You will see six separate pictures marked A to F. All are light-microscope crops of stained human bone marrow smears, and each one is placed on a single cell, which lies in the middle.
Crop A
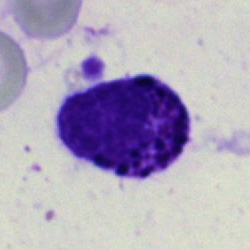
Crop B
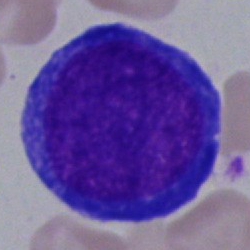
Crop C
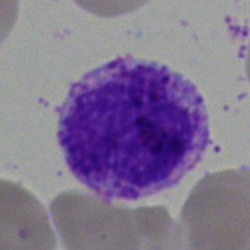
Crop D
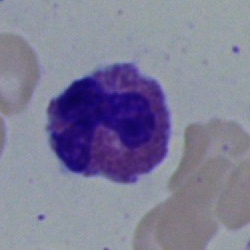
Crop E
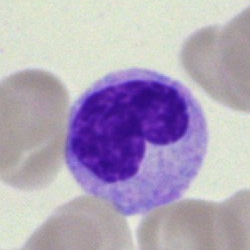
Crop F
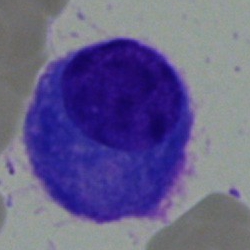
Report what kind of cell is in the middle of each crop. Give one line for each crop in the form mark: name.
A: basophil
B: proerythroblast
C: basophil
D: eosinophil
E: metamyelocyte
F: plasma cell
